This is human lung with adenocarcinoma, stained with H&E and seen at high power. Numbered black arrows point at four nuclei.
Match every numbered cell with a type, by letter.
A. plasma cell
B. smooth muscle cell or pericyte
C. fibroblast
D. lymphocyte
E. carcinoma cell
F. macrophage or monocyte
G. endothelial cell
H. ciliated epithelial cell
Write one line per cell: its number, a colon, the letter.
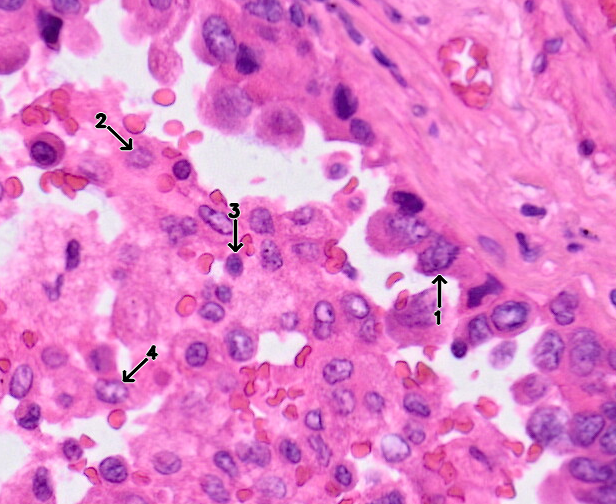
1: E
2: F
3: D
4: F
